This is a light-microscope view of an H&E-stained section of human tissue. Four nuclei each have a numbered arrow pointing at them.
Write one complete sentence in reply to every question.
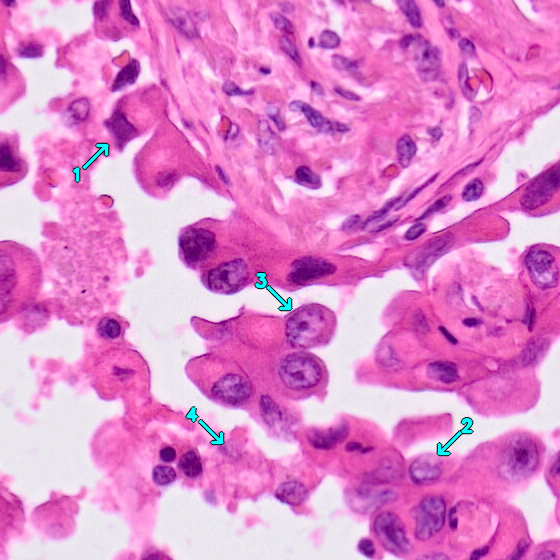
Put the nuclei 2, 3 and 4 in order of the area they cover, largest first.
The nuclei rank 3, 2, 4, from largest to smallest.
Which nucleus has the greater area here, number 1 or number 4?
Of the two, number 1 is bigger and takes up about 2 times the area of number 4.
